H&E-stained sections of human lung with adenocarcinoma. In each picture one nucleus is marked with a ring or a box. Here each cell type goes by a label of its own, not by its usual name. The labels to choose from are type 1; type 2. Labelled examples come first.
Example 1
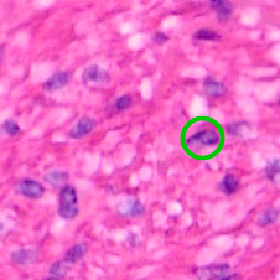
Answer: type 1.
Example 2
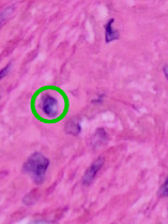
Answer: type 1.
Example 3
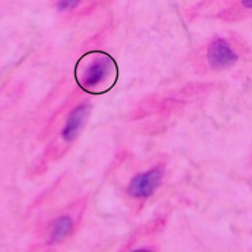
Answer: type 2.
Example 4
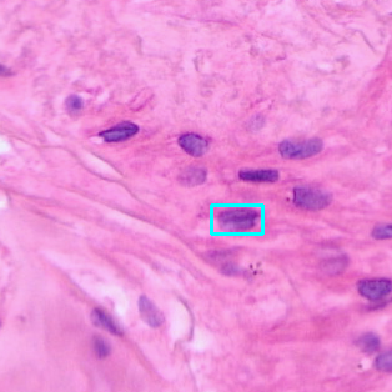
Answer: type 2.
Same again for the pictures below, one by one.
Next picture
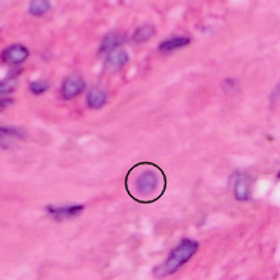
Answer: type 1.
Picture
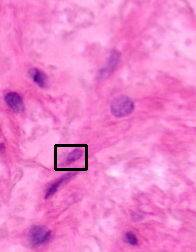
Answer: type 2.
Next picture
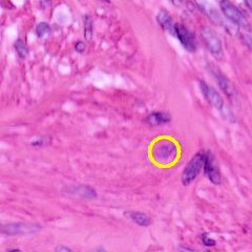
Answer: type 2.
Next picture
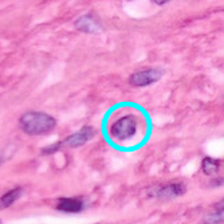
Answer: type 1.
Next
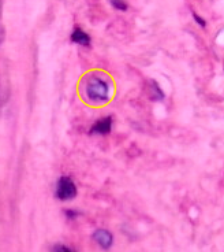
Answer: type 2.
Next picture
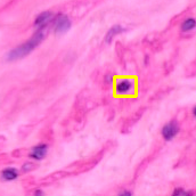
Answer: type 2.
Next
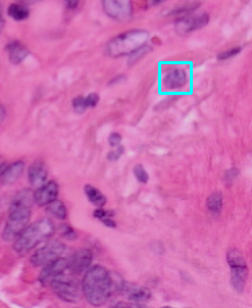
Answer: type 1.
